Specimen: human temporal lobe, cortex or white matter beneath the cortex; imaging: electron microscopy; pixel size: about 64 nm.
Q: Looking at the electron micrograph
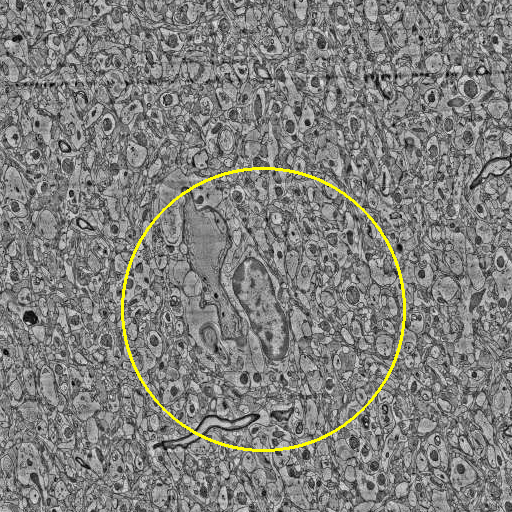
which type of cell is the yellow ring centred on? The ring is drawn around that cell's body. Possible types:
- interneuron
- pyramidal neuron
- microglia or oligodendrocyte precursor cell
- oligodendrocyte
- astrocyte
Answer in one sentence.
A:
The yellow ring is centred on a microglial cell or oligodendrocyte precursor cell.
